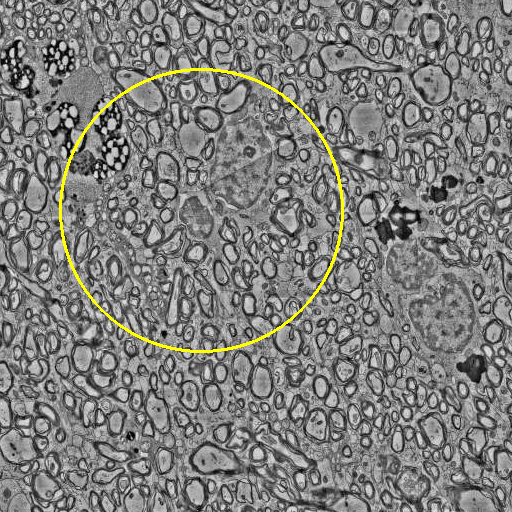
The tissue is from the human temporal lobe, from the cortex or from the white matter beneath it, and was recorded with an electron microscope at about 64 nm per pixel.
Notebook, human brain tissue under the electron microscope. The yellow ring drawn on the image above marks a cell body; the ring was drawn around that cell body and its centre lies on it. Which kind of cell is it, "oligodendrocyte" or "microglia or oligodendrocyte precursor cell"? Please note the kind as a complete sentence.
The marked cell body is that of an oligodendrocyte.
